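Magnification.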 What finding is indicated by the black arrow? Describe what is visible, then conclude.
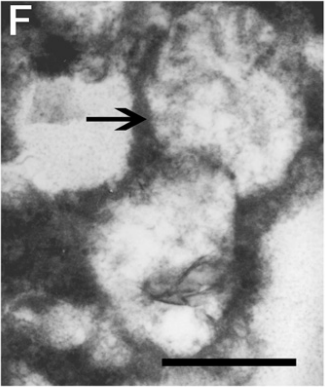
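The arrow points to pale, swollen membrane-bound structures. The internal folds are largely absent, with only a small remnant of membranes.
Conclusion: abnormal mitochondria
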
